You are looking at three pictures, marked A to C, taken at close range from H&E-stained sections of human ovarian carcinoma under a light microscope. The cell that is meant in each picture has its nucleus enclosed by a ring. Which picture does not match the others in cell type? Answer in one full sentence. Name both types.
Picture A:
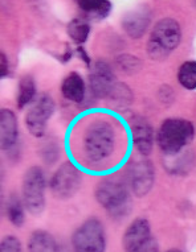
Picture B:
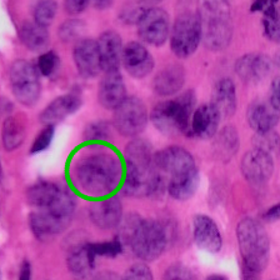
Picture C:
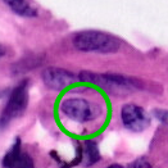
All pictures except C show carcinoma cells; picture C shows a “macrophage or monocyte”.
